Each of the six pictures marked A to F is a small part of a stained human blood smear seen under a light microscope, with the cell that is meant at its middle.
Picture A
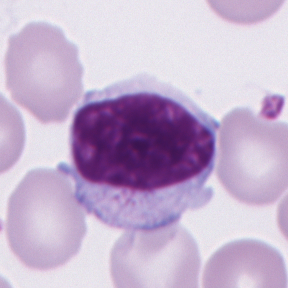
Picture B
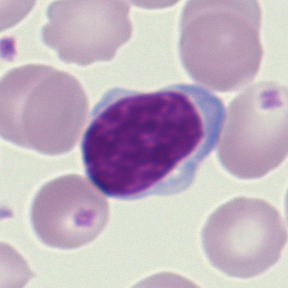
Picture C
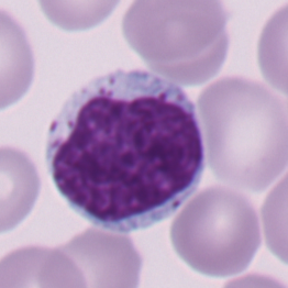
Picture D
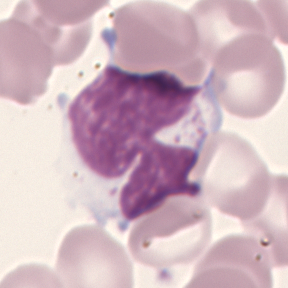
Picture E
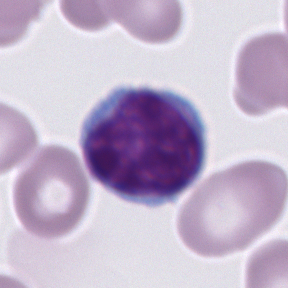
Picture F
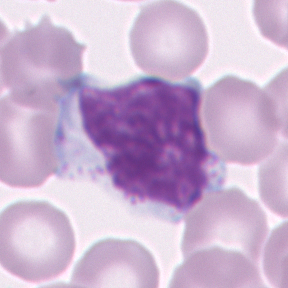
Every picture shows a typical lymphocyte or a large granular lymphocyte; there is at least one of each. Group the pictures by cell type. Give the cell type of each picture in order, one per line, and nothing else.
large granular lymphocyte
typical lymphocyte
large granular lymphocyte
large granular lymphocyte
typical lymphocyte
large granular lymphocyte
